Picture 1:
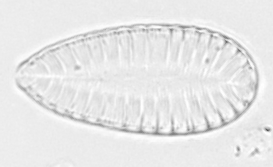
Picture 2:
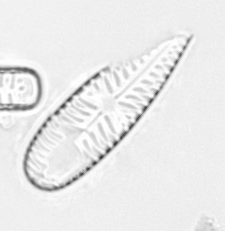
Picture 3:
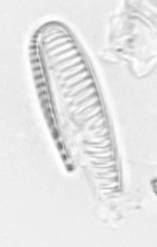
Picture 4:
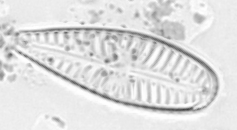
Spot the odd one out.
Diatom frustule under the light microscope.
Picture 1 (Surirella among Gomphonella).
